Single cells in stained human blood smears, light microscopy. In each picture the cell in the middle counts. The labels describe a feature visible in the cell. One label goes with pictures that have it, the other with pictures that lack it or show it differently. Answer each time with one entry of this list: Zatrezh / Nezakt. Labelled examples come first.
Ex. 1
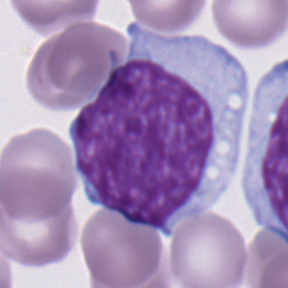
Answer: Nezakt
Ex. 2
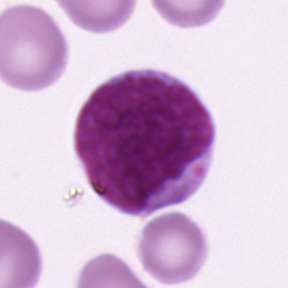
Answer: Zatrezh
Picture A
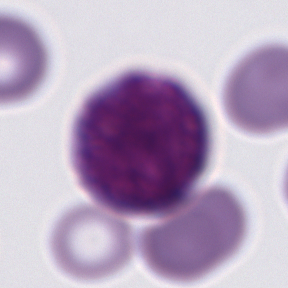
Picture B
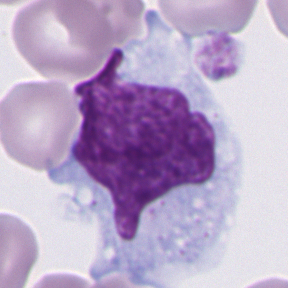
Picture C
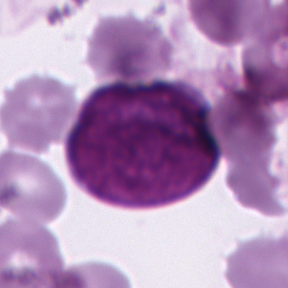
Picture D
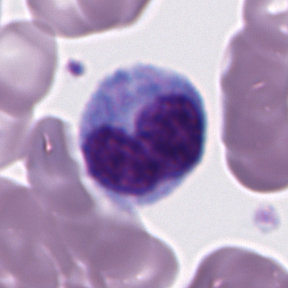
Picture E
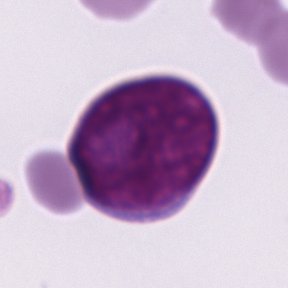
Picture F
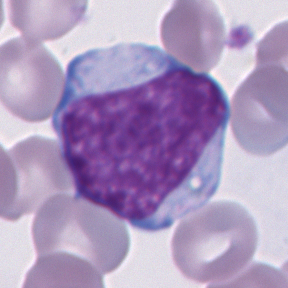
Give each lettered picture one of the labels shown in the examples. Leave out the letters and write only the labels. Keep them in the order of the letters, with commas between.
Zatrezh, Nezakt, Zatrezh, Zatrezh, Zatrezh, Nezakt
